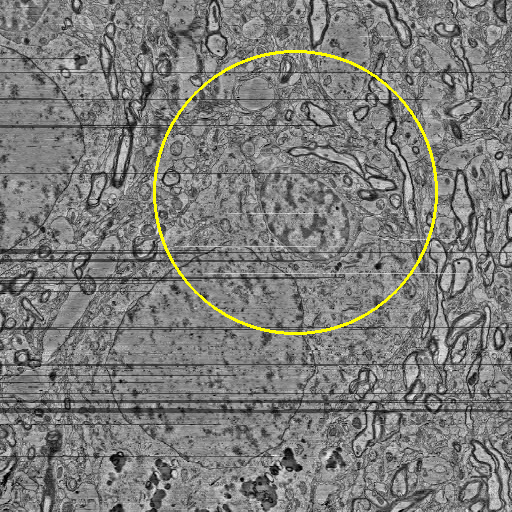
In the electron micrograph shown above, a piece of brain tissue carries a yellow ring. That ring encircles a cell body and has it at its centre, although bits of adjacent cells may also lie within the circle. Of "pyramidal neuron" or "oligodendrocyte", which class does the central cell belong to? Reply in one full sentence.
The cell body at the centre of the yellow ring belongs to an oligodendrocyte.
